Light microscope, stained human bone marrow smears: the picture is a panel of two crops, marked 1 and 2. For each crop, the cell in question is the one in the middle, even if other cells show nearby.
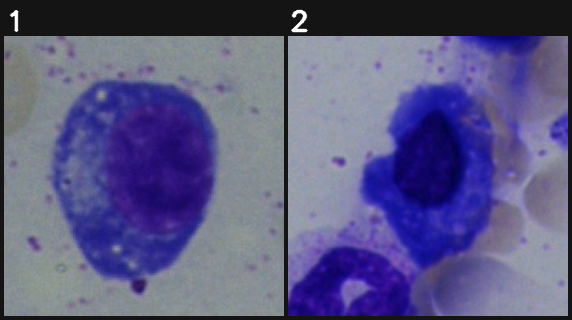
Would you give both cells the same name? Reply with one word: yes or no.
yes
